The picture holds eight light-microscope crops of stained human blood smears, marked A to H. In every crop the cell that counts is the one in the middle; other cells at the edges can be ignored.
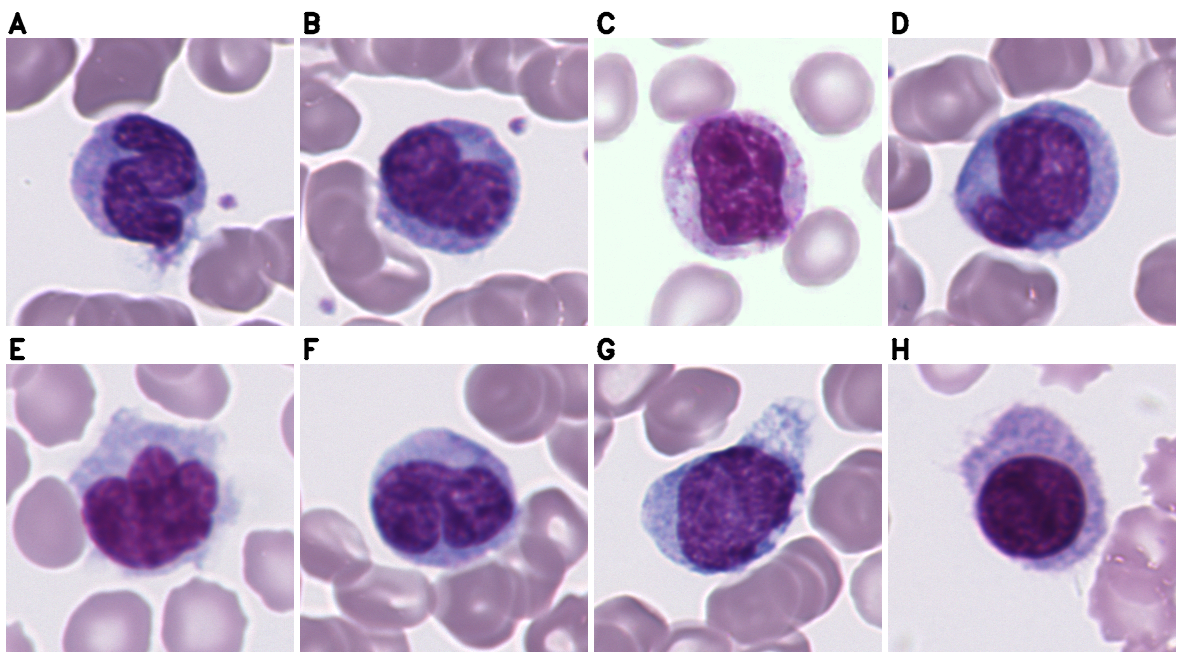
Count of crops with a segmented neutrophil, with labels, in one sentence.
All of the crops are free of segmented neutrophils, so the count is zero.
